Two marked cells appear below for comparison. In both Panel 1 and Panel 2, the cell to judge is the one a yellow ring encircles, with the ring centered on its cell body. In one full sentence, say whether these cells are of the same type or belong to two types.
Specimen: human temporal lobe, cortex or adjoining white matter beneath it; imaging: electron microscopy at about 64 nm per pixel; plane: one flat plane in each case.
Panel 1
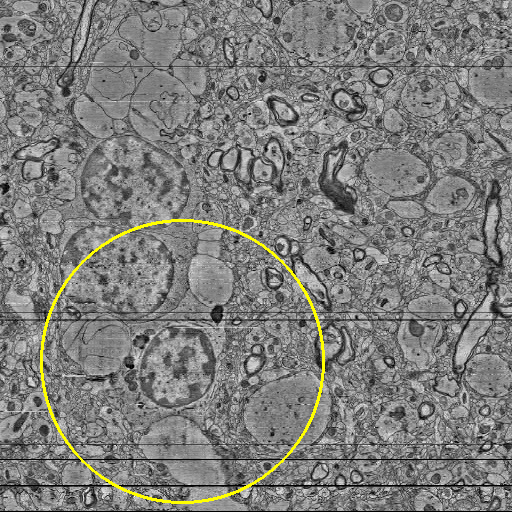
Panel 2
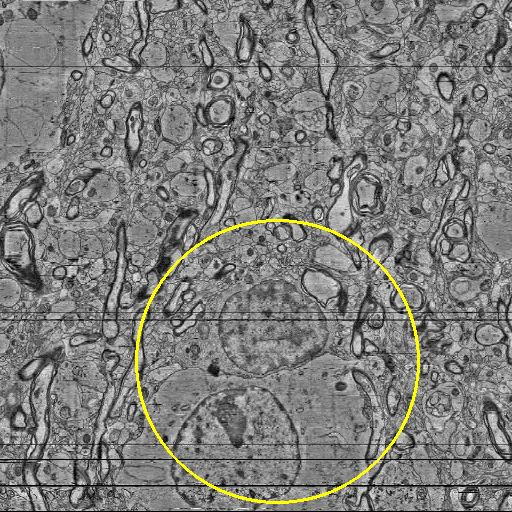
The cell centered in the Panel 1 ring and the one in Panel 2 belong to two types.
